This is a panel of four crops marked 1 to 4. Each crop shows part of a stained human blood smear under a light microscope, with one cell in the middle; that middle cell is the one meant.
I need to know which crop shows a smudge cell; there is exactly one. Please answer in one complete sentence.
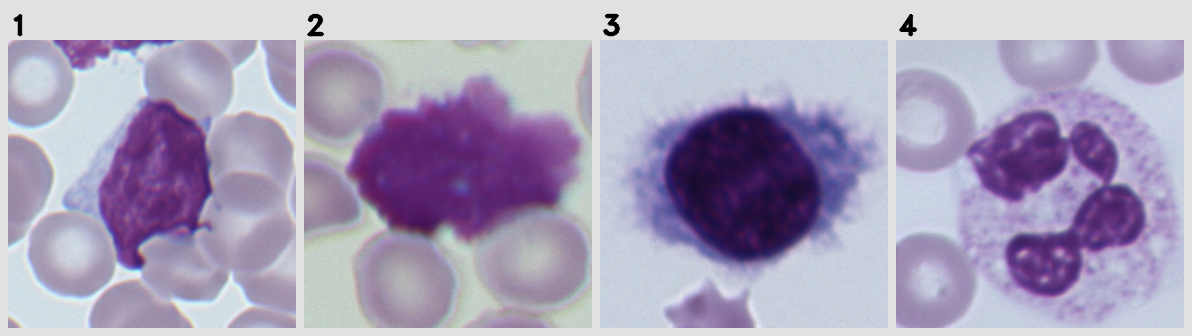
Of the cells presented, the one in crop 2 is a smudge cell.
